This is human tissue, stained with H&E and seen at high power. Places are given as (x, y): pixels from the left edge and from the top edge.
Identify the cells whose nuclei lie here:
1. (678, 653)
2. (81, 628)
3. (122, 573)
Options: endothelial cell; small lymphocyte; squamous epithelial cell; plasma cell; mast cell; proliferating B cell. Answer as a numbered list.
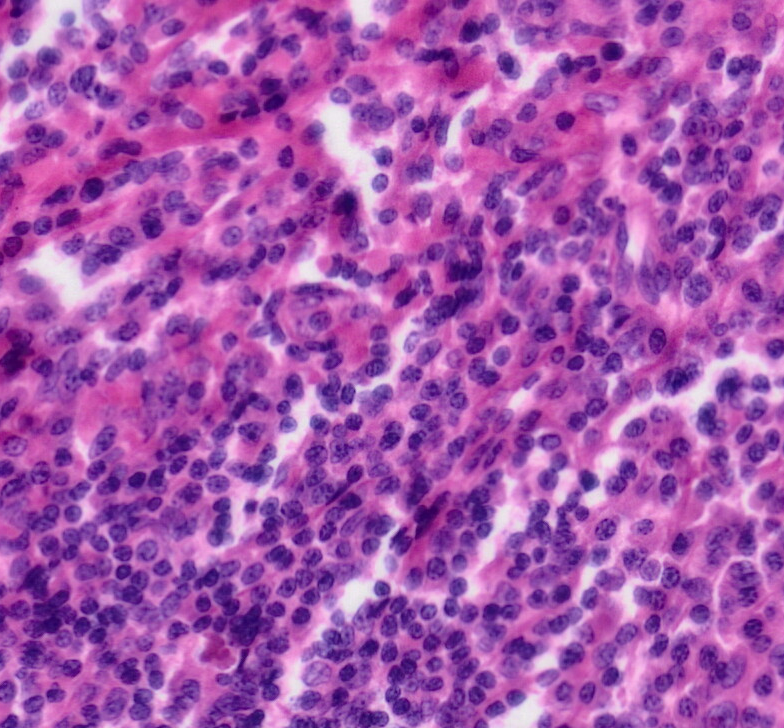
1. plasma cell
2. small lymphocyte
3. small lymphocyte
